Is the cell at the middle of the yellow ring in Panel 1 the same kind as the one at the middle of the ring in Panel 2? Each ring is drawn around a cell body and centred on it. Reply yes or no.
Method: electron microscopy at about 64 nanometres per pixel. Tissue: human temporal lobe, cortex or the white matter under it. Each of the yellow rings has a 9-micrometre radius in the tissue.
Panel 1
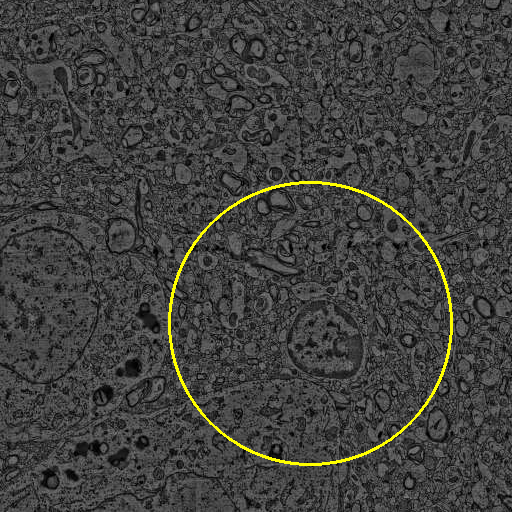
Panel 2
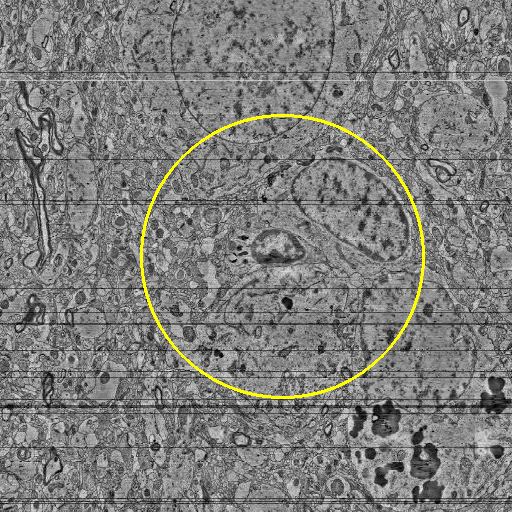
yes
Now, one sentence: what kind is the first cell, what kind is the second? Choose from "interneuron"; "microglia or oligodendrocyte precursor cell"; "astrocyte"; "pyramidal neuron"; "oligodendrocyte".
Both cells are the same kind, each one being a microglial cell or oligodendrocyte precursor cell.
